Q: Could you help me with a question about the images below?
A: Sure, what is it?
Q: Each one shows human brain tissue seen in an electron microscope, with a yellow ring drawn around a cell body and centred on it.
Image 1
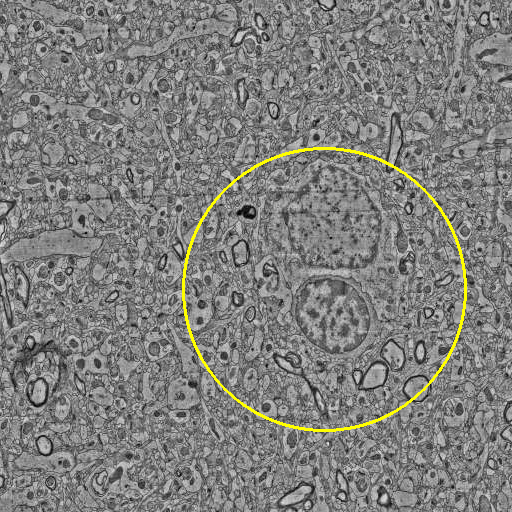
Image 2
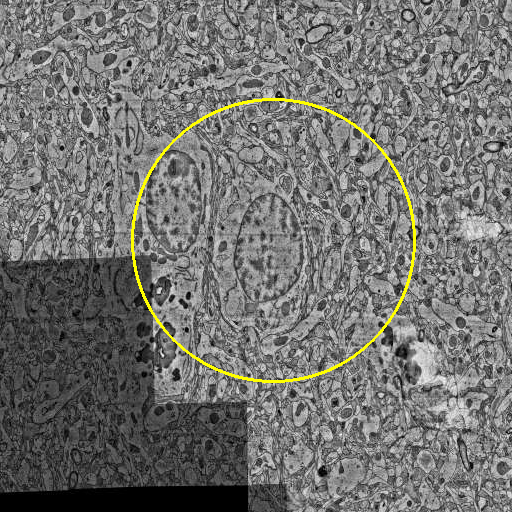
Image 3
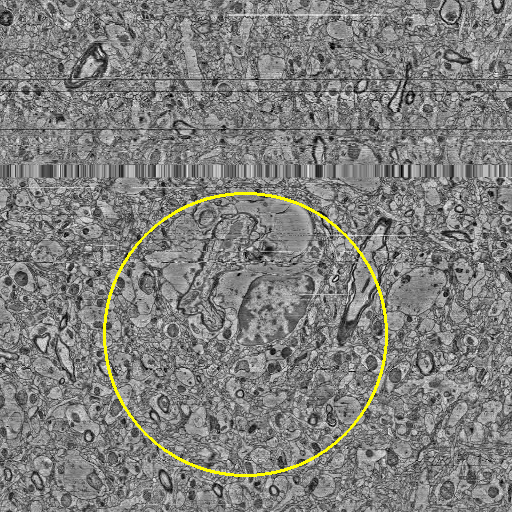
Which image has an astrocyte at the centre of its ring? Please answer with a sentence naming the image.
Image 2 has it at the centre of its ring.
